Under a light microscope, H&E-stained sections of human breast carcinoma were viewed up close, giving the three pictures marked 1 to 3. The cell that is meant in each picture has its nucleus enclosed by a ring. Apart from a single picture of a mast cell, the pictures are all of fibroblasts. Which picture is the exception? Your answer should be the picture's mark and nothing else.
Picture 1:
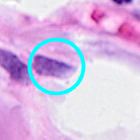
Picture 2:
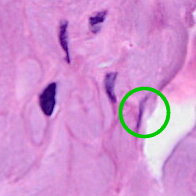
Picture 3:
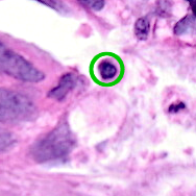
3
